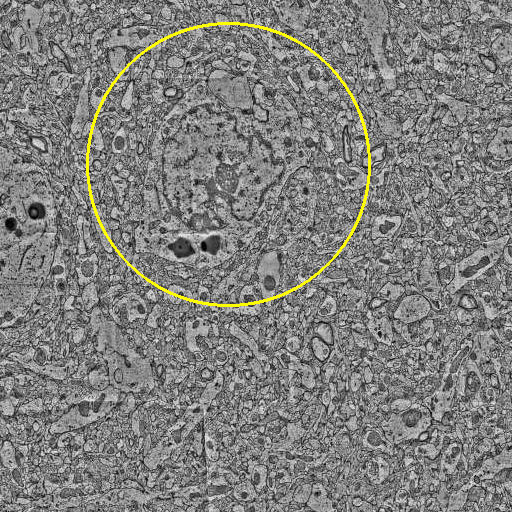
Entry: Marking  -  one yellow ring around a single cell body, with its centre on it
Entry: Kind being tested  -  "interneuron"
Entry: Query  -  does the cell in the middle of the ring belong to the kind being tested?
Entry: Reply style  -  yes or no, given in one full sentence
Yes, the centred cell within the ring in the picture does belong to the tested kind.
